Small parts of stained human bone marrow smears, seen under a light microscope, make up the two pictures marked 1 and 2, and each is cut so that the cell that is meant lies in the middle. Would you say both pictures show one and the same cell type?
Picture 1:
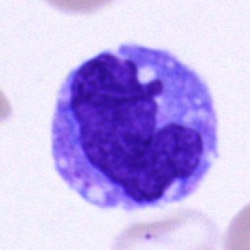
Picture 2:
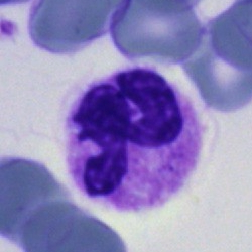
no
